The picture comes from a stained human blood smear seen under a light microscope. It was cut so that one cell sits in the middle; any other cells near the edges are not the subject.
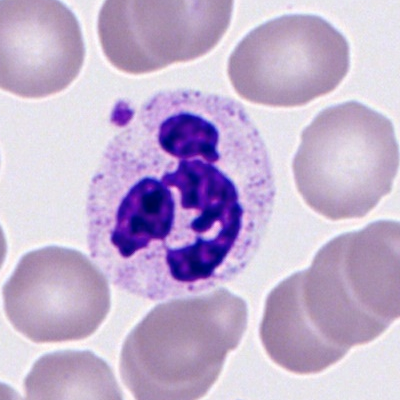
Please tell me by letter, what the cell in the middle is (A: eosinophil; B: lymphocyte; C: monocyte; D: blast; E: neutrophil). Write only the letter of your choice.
E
